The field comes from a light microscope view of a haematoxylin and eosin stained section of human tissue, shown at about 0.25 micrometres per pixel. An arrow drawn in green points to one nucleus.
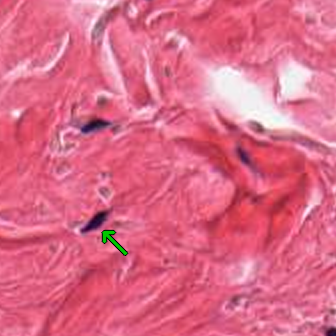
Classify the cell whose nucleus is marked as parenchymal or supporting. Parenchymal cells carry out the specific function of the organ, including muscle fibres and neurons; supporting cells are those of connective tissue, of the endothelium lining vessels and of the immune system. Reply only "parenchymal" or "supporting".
supporting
